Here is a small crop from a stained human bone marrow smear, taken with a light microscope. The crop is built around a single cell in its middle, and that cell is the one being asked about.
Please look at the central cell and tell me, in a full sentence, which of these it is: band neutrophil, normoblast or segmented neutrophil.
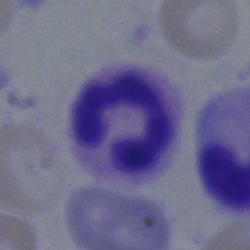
The cell shown in the center of this light-microscope crop is a segmented neutrophil.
